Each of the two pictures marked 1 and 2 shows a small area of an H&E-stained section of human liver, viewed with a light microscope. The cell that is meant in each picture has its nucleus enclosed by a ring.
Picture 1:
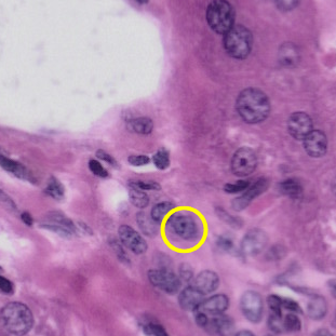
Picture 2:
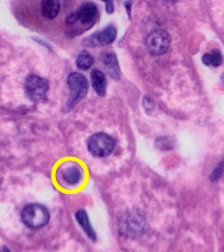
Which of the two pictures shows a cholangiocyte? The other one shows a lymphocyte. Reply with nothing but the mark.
1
